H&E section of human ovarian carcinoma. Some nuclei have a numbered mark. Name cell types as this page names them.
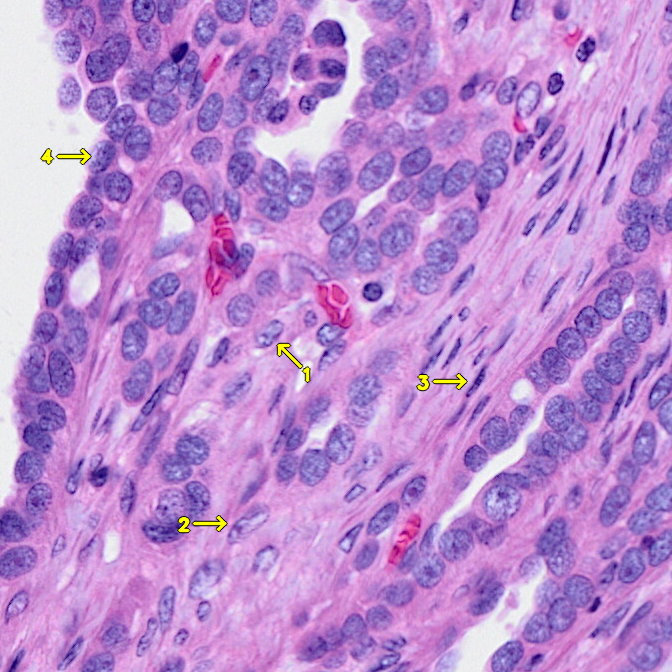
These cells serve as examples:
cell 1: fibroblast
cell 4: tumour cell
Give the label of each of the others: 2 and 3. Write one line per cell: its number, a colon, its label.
2: fibroblast
3: fibroblast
